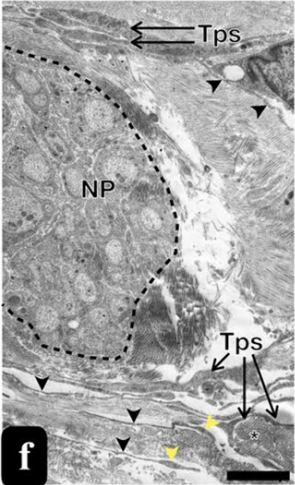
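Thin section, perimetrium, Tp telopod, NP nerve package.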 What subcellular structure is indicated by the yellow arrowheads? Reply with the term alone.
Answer: Podome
